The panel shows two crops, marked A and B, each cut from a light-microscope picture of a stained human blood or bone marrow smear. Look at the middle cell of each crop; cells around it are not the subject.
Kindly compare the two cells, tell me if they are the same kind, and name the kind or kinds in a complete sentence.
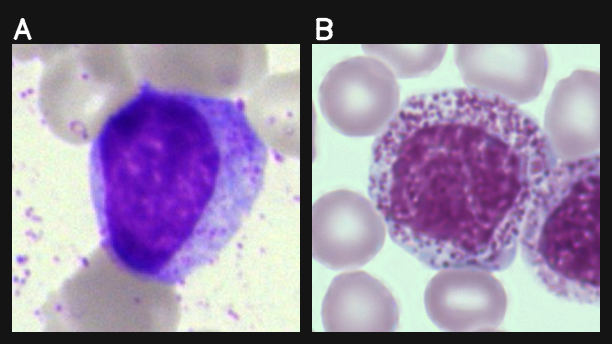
Yes, myelocytes are the central cells in the two crops.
